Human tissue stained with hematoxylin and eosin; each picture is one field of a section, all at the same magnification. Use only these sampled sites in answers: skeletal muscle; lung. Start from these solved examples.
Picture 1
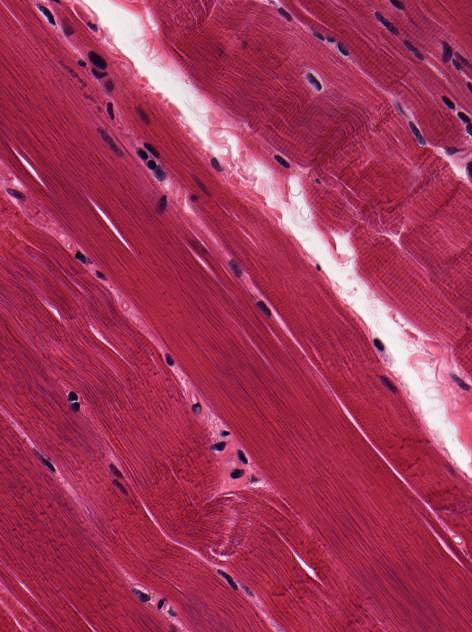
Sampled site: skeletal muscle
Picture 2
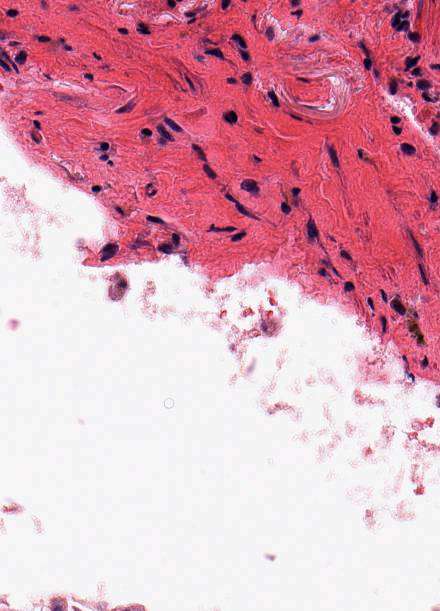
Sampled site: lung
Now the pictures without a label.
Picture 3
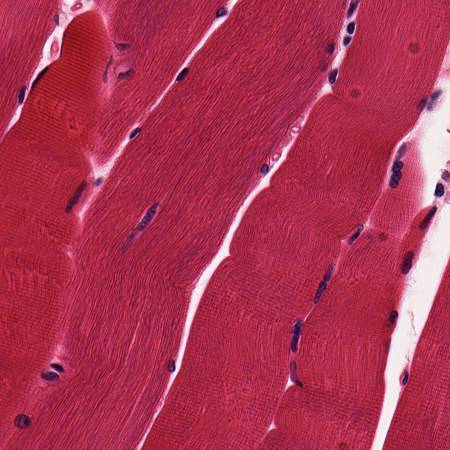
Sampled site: skeletal muscle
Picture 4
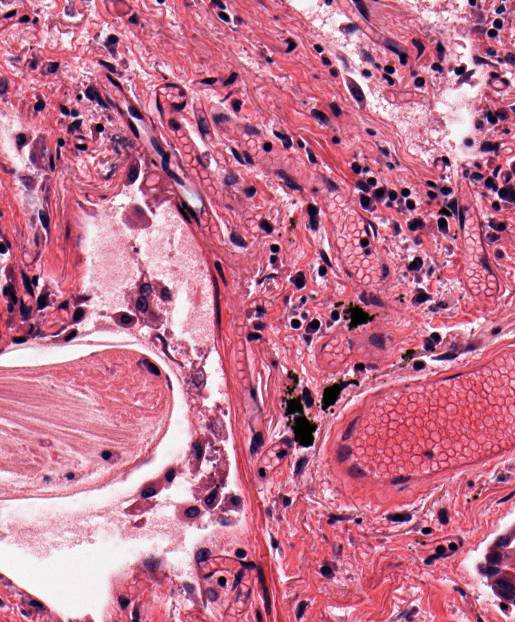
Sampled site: lung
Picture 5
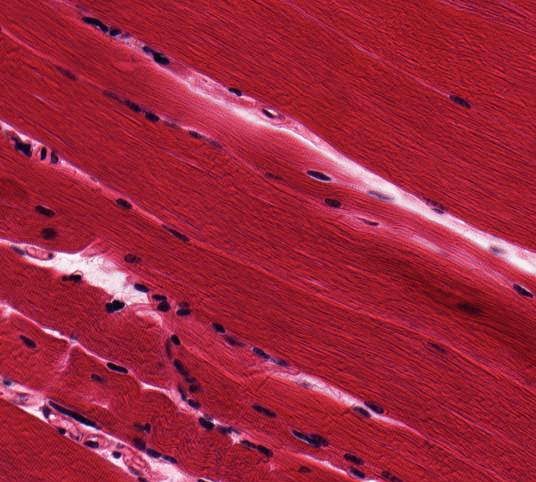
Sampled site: skeletal muscle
